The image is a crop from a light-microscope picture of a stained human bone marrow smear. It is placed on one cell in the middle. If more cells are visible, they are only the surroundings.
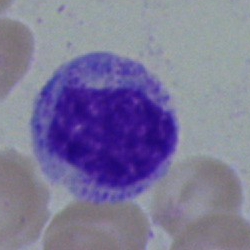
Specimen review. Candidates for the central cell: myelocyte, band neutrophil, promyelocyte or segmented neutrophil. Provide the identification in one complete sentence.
The centrally placed cell is classified as a myelocyte.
